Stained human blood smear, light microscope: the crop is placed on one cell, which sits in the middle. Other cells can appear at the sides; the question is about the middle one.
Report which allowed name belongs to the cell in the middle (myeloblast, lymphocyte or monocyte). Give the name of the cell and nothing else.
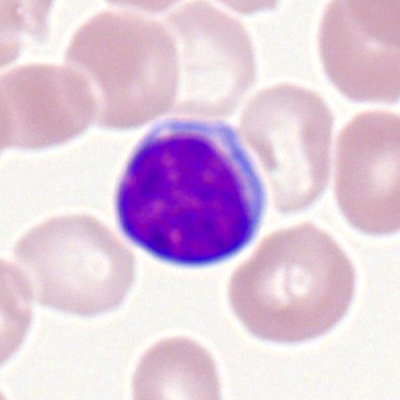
lymphocyte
